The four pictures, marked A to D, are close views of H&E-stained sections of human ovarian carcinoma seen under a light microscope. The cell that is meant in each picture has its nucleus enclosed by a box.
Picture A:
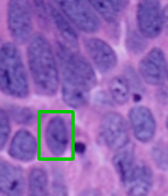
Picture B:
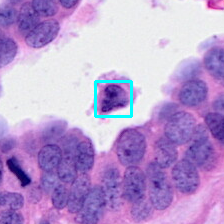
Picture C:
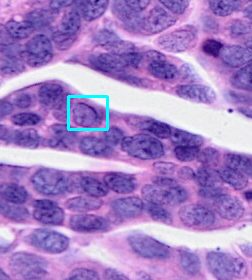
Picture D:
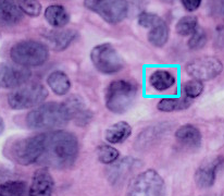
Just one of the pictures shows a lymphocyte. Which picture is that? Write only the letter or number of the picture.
D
